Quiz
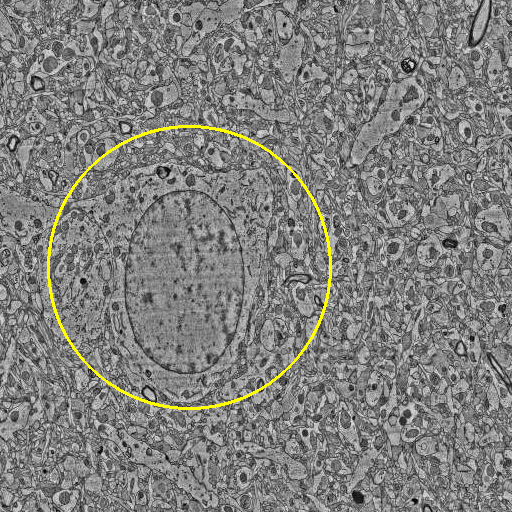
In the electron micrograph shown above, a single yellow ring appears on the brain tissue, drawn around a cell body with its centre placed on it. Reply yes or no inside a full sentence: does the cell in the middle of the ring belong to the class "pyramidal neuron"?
Yes, the cell at the centre of the ring in the picture belongs to that class.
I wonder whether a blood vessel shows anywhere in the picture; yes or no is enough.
No, none appears.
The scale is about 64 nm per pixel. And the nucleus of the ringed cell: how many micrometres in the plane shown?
In this plane the nucleus is clearly longer than it is wide, at approximately 12 by 8 micrometres.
